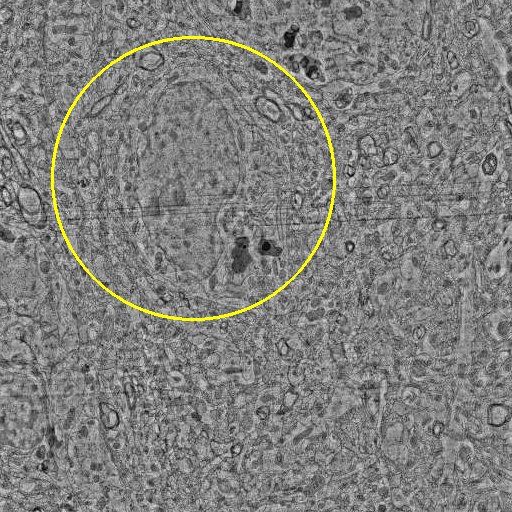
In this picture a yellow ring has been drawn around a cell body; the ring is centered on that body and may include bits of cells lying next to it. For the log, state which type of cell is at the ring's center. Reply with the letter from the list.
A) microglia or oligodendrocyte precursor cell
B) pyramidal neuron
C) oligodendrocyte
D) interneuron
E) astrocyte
D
